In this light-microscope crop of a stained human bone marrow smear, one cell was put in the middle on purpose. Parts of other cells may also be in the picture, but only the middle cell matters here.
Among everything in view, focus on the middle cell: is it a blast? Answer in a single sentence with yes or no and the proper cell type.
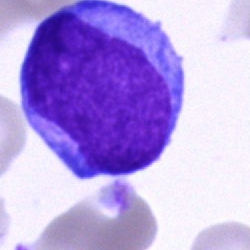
Yes, the crop's central cell is a blast.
